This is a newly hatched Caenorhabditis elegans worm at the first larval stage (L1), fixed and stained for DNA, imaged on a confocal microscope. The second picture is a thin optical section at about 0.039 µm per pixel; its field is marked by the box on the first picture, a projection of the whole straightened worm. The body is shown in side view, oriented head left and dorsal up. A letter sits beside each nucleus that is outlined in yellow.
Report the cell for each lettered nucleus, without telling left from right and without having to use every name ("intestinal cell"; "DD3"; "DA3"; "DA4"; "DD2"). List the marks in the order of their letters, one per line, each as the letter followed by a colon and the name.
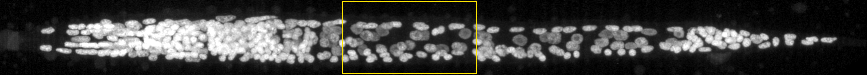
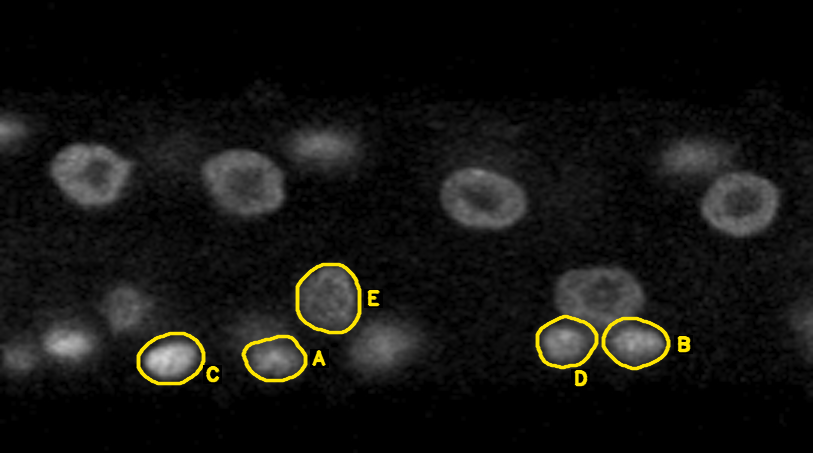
A: DA3
B: DD3
C: DD2
D: DA4
E: intestinal cell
